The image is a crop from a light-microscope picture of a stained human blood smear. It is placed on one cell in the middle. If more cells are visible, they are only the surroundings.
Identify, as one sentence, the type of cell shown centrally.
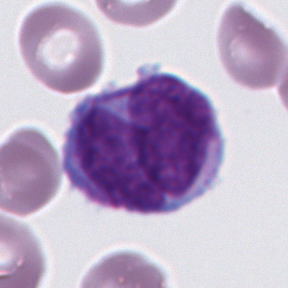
Positioned in the middle of the crop is an atypical promyelocyte.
